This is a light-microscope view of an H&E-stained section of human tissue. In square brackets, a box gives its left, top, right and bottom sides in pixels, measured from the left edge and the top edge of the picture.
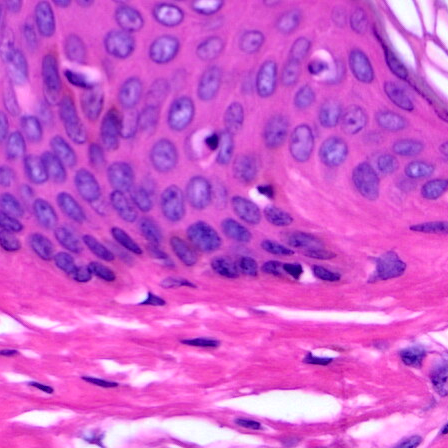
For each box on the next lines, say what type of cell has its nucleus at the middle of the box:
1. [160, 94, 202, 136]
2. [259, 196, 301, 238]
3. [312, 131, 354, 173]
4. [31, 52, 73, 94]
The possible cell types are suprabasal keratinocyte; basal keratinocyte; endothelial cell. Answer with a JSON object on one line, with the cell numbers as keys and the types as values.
{"1": "suprabasal keratinocyte", "2": "basal keratinocyte", "3": "basal keratinocyte", "4": "basal keratinocyte"}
